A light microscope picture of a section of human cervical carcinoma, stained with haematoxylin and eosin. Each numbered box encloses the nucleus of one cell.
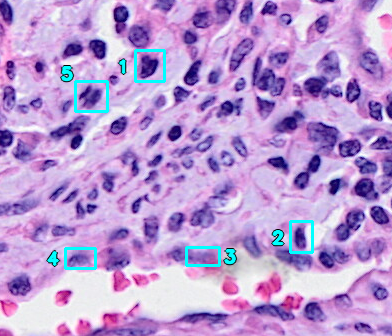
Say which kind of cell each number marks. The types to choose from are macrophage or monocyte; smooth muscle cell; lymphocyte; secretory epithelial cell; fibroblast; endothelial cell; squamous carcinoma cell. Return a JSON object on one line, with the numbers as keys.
{"1": "lymphocyte", "2": "lymphocyte", "3": "endothelial cell", "4": "endothelial cell", "5": "lymphocyte"}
